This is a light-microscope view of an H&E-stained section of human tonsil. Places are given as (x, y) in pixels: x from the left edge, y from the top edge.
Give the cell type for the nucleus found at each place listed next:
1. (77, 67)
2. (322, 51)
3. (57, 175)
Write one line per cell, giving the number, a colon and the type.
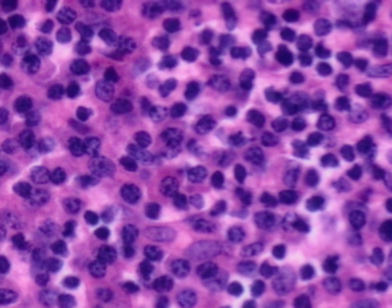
1: plasma cell
2: small lymphocyte
3: plasma cell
